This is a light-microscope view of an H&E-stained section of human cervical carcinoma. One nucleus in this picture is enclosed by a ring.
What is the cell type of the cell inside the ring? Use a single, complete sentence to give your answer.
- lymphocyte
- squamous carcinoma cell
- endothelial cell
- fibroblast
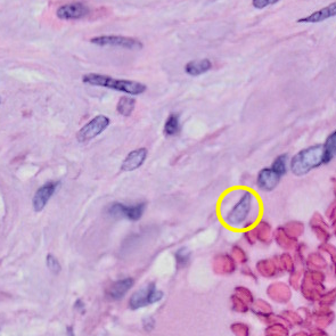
Placed in its cell category, the cell inside the ring is an endothelial cell.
